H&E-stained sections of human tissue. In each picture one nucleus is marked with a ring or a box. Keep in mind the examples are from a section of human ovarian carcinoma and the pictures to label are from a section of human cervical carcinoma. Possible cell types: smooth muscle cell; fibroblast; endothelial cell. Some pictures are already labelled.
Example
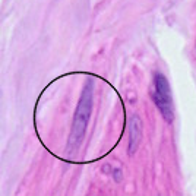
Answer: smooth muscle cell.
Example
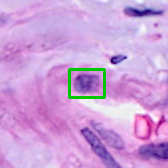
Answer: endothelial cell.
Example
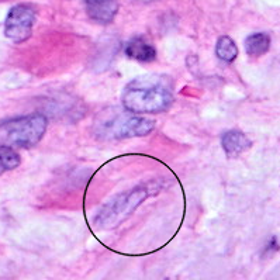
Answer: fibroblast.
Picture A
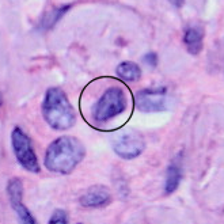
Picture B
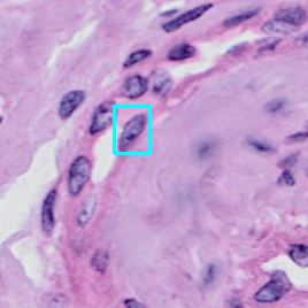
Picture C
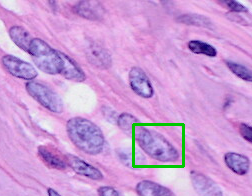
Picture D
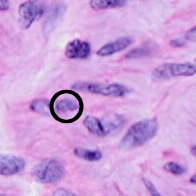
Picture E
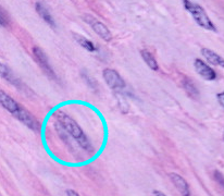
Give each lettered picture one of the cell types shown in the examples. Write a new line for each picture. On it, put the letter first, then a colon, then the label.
A: endothelial cell.
B: endothelial cell.
C: endothelial cell.
D: smooth muscle cell.
E: smooth muscle cell.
